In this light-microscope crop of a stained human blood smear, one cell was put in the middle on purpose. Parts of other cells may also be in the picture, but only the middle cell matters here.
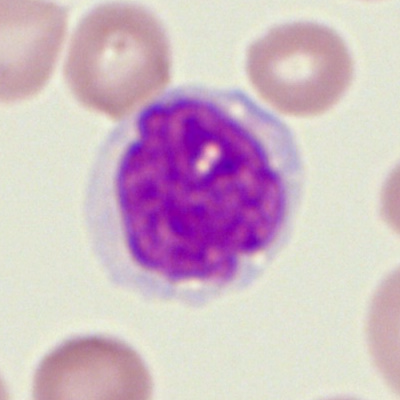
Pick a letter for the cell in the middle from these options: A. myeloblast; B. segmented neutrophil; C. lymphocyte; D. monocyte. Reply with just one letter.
D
